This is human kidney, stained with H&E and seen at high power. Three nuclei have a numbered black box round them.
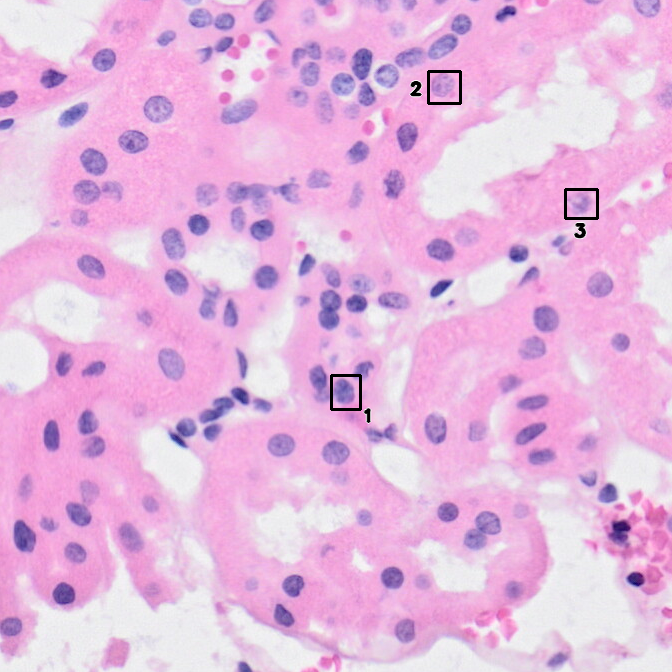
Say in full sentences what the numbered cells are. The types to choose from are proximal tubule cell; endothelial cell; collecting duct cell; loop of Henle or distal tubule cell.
Cell 1 is a collecting duct cell. Cells 2 and 3 are proximal tubule cells.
